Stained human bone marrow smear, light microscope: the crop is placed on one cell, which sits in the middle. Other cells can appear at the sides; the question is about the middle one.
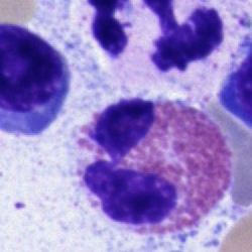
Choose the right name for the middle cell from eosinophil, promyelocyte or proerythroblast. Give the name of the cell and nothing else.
eosinophil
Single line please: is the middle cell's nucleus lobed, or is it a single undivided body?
In short, this nucleus is segmented into two or more parts.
